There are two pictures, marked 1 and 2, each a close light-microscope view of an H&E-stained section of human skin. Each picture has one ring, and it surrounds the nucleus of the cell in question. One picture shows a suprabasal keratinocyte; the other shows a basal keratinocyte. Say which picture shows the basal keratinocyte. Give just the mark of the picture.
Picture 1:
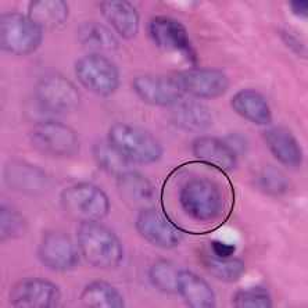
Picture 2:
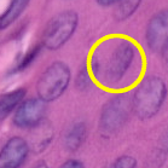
1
